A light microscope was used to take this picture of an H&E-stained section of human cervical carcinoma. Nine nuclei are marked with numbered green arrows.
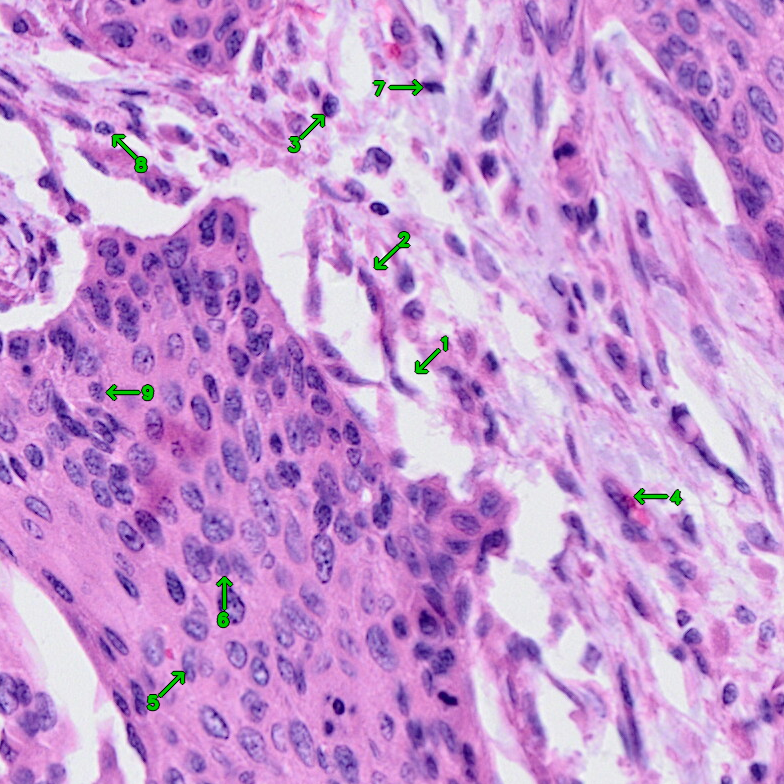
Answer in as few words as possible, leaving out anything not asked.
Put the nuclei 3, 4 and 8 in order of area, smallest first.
8, 3, 4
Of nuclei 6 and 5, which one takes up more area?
5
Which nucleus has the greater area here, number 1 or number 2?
1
